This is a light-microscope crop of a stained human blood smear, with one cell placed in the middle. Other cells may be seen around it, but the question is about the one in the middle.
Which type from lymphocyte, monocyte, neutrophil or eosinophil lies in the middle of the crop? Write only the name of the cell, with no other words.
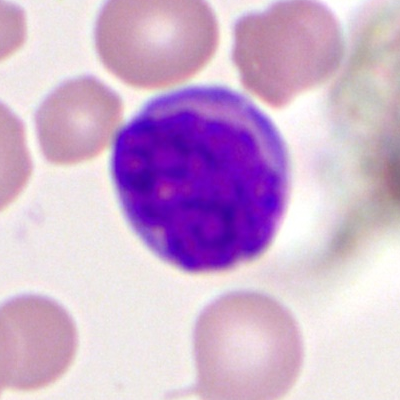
lymphocyte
